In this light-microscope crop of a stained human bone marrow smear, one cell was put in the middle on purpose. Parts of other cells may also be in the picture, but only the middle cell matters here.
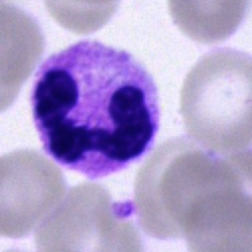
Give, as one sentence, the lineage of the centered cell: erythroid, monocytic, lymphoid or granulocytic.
Designated granulocytic in lineage is the cell at the center of the crop.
